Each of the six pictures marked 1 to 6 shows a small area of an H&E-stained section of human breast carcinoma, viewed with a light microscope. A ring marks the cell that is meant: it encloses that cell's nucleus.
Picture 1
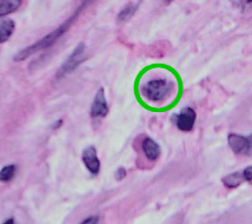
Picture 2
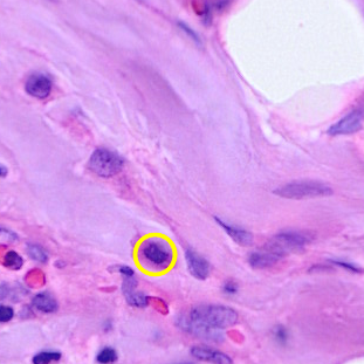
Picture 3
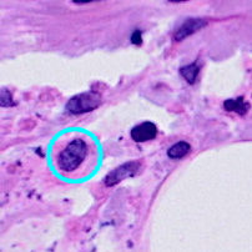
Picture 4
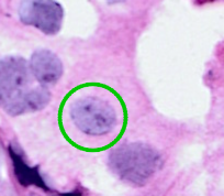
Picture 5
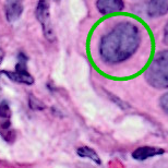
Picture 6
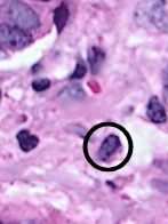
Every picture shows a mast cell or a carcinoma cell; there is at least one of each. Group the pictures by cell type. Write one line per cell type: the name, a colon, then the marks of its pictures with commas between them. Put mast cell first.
mast cell: 1, 2, 3, 6
carcinoma cell: 4, 5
